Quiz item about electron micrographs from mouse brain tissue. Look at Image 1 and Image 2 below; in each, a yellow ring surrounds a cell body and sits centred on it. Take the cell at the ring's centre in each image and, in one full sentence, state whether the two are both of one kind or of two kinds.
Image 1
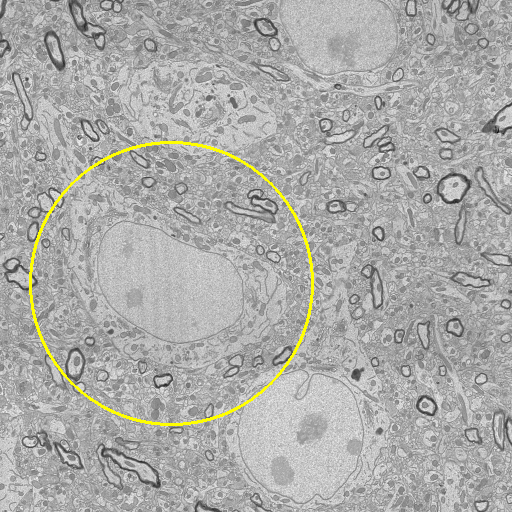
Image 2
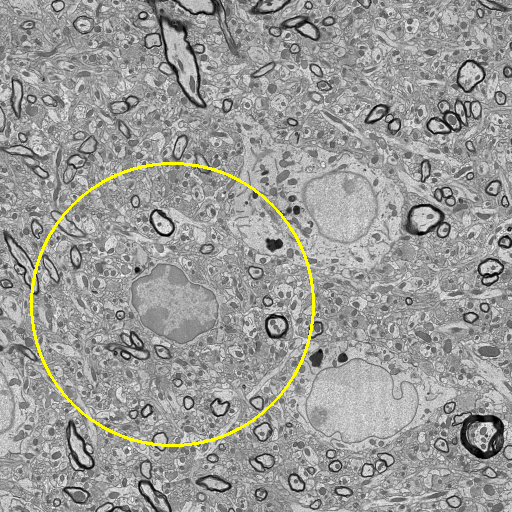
In Image 1 and Image 2, the cells at the ring centres are of two kinds.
